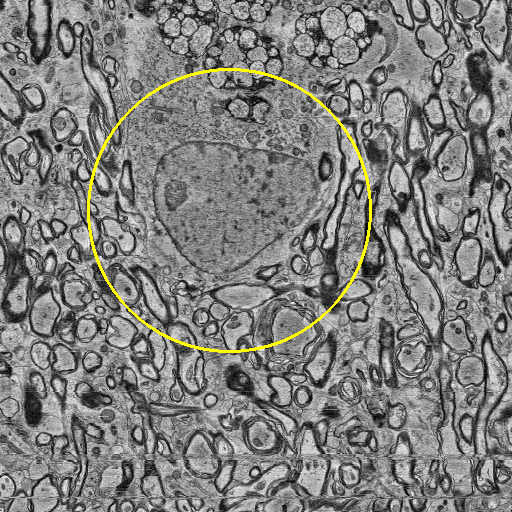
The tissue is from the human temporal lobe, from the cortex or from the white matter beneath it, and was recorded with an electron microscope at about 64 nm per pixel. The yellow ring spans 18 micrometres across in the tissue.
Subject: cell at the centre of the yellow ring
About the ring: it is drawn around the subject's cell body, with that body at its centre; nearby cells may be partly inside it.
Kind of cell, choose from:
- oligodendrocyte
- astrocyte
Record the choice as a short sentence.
The subject cell is an astrocyte.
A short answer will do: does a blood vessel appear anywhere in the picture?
No, none is visible.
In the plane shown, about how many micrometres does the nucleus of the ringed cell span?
The nucleus is approximately 10 micrometers across in this plane.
